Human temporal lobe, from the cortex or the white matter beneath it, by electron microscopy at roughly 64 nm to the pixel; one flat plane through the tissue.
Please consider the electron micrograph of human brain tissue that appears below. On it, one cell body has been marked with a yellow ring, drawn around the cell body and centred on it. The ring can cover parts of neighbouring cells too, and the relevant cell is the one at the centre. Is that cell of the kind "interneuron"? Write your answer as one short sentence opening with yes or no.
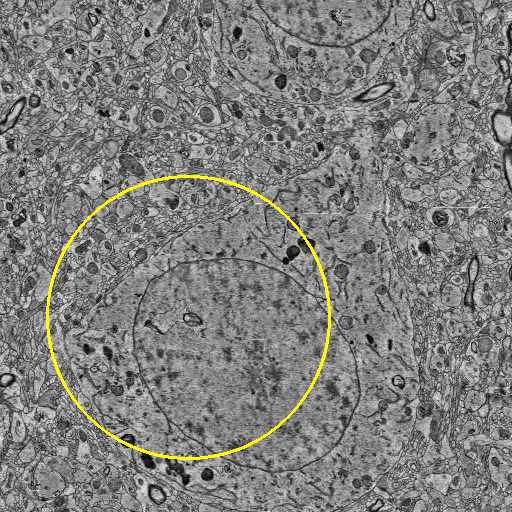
No, it is of another kind.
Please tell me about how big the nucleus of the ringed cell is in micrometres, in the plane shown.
The nucleus works out at approximately 16 by 12 micrometres in this plane.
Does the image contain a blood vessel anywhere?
No, none shows.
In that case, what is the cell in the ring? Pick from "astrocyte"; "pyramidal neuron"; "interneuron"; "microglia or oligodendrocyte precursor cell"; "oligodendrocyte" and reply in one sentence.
What the ring encloses here is a pyramidal neuron.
